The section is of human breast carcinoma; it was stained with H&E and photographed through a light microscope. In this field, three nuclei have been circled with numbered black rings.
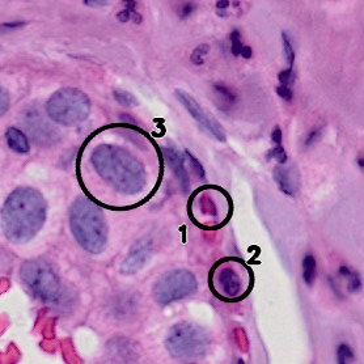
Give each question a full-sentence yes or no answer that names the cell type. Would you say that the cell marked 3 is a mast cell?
No, number 3 is assigned to a carcinoma cell, not to a mast cell.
